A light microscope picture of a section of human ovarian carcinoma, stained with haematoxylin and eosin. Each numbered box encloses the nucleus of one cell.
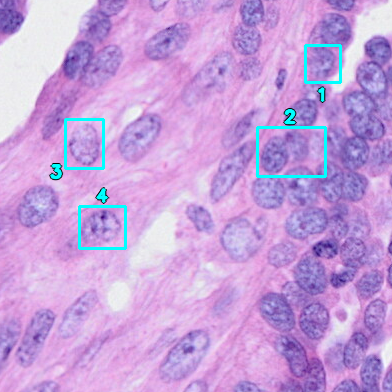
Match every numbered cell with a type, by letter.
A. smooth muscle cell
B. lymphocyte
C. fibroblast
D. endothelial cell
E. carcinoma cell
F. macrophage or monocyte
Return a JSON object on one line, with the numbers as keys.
{"1": "E", "2": "E", "3": "C", "4": "C"}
